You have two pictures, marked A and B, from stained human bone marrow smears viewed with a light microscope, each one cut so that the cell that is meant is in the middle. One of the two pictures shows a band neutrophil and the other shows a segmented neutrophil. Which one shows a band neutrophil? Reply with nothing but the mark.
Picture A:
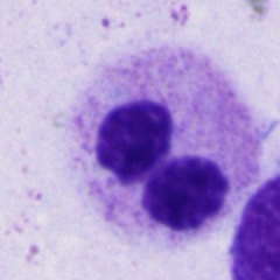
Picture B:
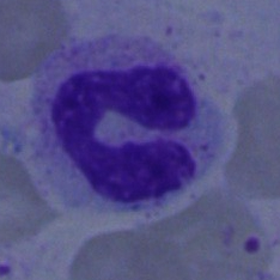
B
